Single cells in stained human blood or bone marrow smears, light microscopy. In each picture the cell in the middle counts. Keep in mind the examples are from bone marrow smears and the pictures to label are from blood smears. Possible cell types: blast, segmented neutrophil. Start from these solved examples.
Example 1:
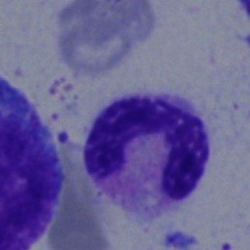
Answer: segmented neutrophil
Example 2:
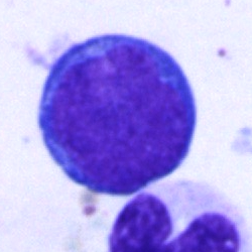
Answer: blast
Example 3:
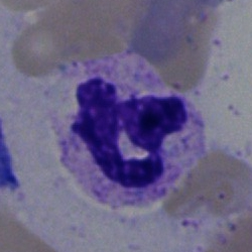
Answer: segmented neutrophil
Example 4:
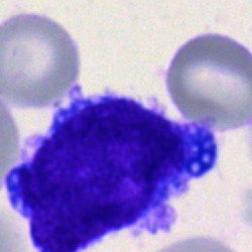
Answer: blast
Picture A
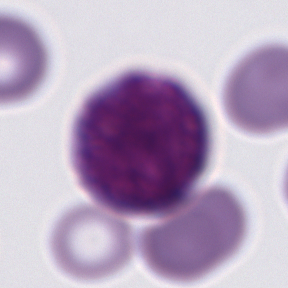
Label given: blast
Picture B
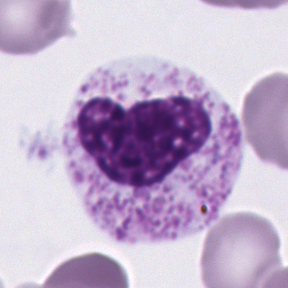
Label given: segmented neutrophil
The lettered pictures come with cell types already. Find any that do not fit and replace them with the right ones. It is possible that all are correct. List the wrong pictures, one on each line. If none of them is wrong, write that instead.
All labels are correct.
